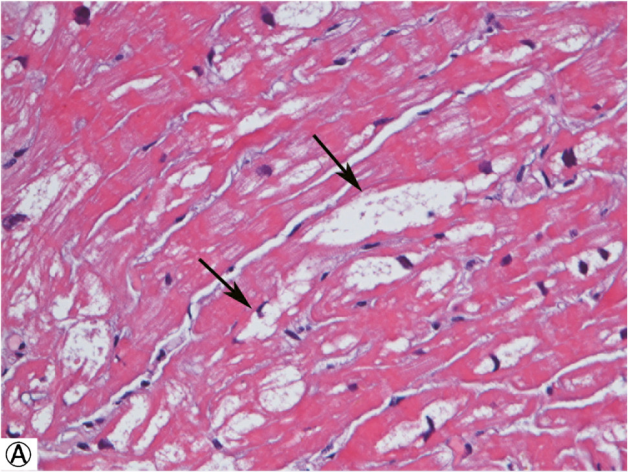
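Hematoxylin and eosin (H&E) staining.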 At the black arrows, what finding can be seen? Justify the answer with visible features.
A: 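Many clear, pale, empty-looking spaces lie within the pink muscle fibers. The clear spaces are spread throughout the field rather than in one spot.
Diffuse vacuolization.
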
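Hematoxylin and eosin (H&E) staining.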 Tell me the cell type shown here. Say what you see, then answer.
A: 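Elongated, branching, eosinophilic muscle fibers run in parallel. So: cardiomyocytes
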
